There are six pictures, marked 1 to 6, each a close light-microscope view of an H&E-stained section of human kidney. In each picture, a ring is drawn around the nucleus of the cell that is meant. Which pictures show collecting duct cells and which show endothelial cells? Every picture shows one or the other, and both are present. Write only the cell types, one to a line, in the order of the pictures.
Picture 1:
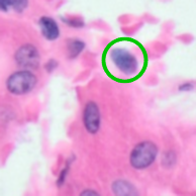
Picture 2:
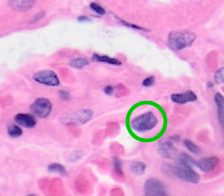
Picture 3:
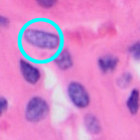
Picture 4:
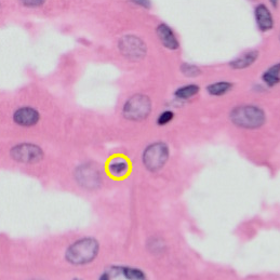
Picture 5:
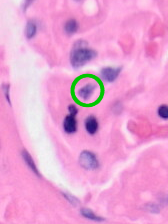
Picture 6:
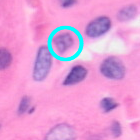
endothelial cell
endothelial cell
collecting duct cell
endothelial cell
endothelial cell
collecting duct cell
